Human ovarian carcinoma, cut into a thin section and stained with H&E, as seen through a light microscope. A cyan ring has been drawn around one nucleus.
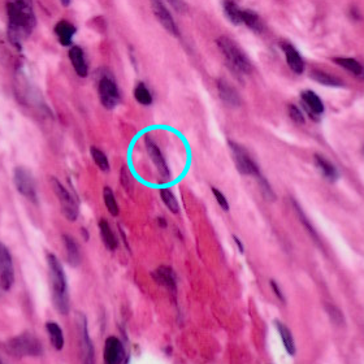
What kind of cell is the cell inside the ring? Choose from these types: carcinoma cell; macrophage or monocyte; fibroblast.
fibroblast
